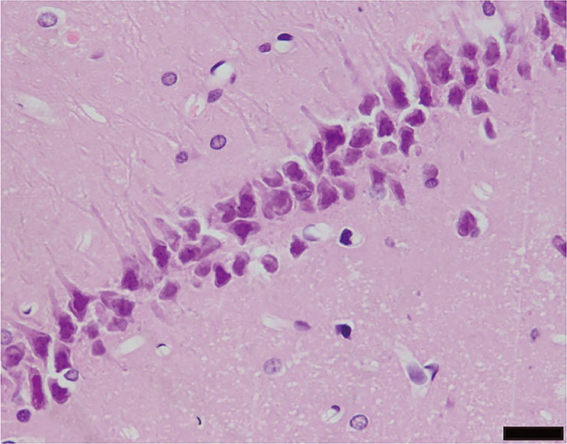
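This pyramidal cell layer of the hippocampus shows shrunken, loosely arranged neurons. The cell bodies are small, angular or triangular and stained a dense dark purple, so that no clear nucleus or nucleolus can be made out. Clear halos separate many of these cells from the surrounding pale neuropil, and the band is thinner with gaps where neurons are missing.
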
